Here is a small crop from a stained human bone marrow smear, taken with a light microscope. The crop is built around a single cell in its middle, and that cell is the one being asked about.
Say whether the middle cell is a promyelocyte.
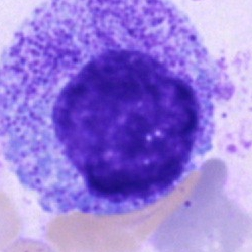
yes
